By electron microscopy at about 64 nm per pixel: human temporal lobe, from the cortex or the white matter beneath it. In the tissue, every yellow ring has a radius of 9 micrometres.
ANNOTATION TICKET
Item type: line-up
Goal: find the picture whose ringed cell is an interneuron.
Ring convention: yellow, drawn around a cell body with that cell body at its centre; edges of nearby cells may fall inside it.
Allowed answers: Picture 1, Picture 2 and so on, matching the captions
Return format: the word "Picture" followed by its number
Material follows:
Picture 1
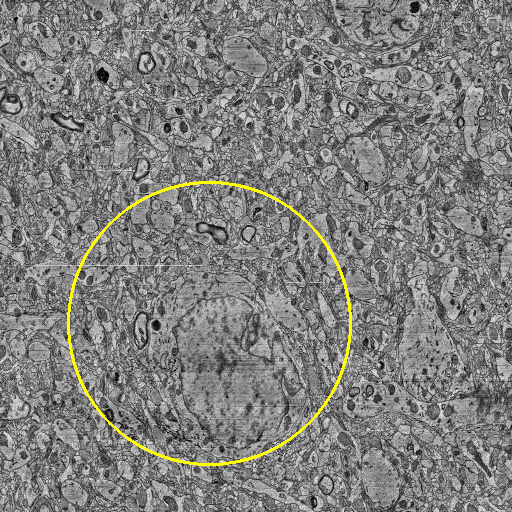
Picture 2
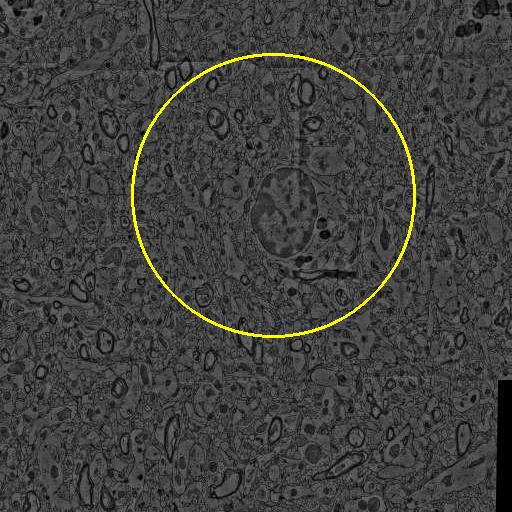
Picture 1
